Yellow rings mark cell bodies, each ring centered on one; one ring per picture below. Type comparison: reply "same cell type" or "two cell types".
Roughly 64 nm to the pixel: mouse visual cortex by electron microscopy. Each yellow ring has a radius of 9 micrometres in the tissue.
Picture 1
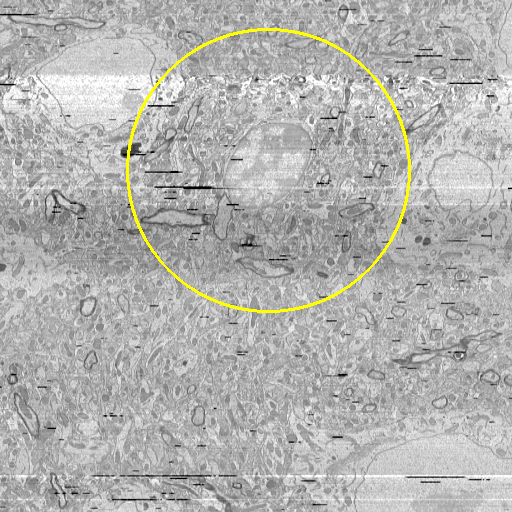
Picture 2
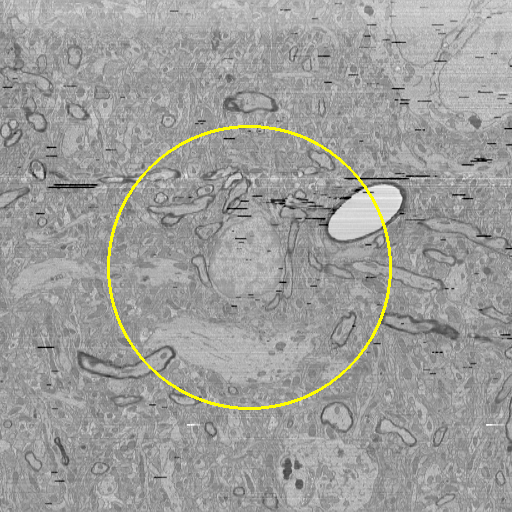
same cell type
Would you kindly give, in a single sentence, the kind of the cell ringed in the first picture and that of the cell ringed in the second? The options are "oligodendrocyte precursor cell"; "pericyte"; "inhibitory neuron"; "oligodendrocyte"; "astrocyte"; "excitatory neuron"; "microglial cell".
Both cells are the same kind, each one being an oligodendrocyte.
